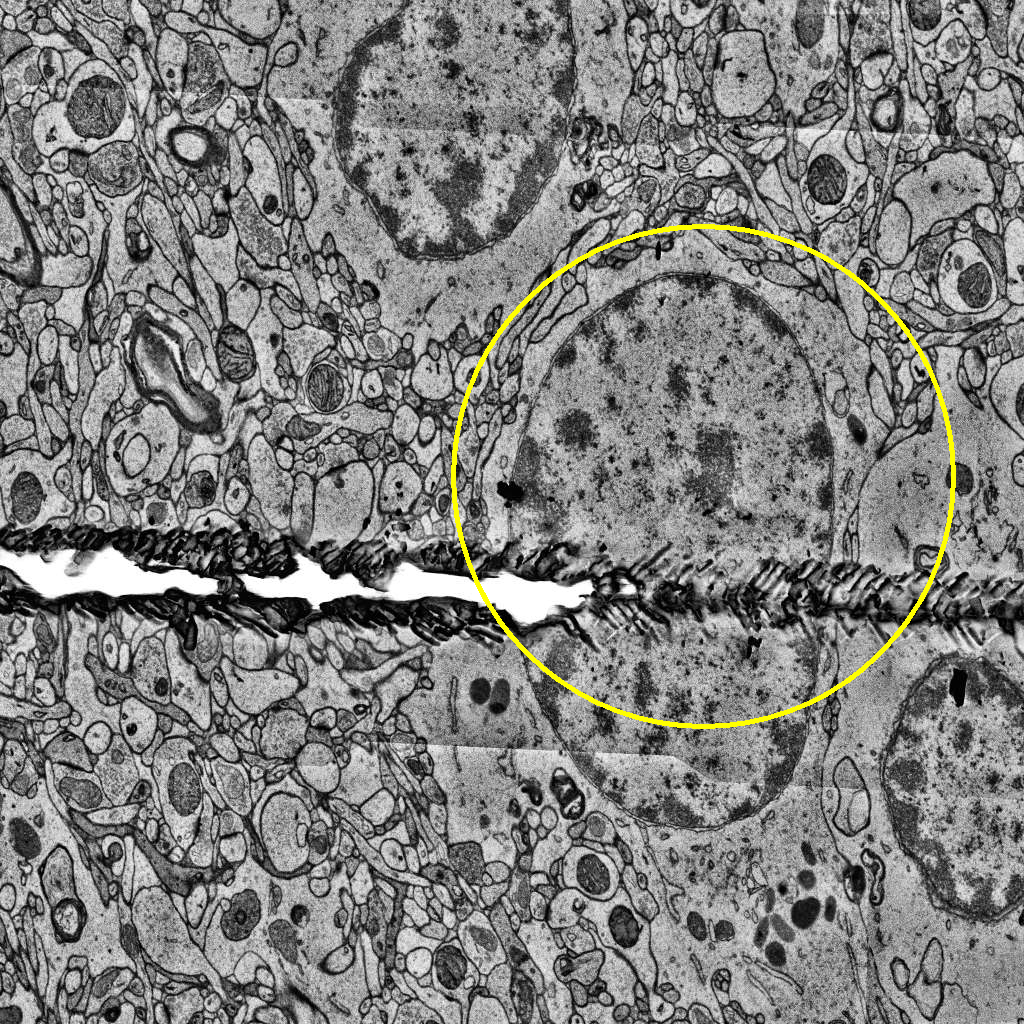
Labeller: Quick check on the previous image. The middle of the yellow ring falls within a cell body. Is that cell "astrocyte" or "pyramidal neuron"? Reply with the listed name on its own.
astrocyte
